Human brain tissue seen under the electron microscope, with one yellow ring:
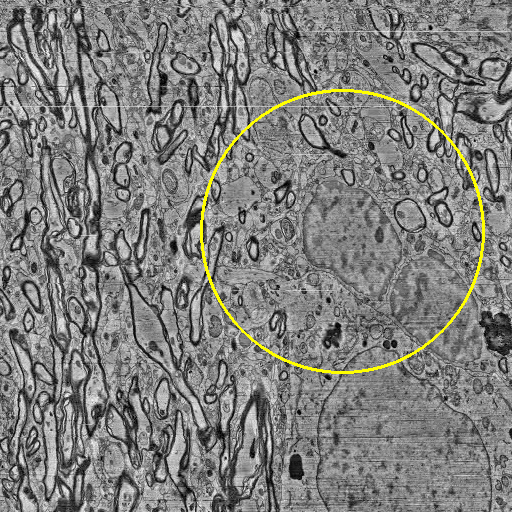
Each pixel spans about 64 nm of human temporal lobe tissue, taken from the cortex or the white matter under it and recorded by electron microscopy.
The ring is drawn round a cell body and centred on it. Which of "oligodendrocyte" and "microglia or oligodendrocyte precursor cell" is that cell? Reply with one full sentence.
The picture shows an oligodendrocyte at the very centre of the yellow ring.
